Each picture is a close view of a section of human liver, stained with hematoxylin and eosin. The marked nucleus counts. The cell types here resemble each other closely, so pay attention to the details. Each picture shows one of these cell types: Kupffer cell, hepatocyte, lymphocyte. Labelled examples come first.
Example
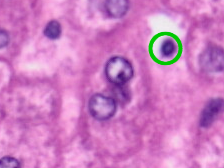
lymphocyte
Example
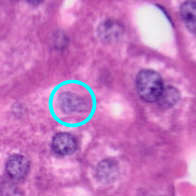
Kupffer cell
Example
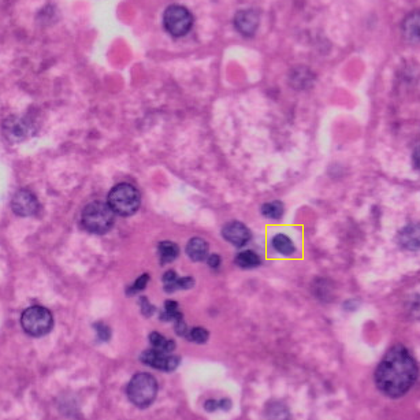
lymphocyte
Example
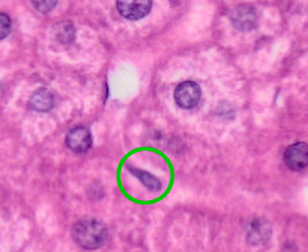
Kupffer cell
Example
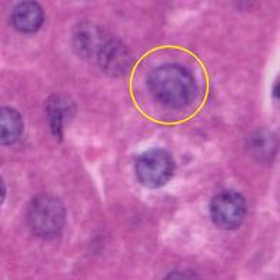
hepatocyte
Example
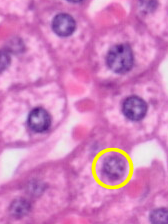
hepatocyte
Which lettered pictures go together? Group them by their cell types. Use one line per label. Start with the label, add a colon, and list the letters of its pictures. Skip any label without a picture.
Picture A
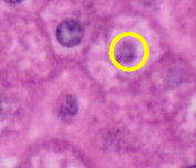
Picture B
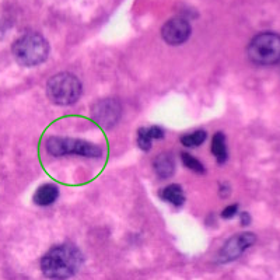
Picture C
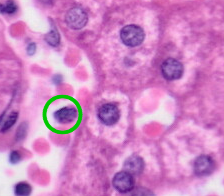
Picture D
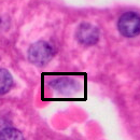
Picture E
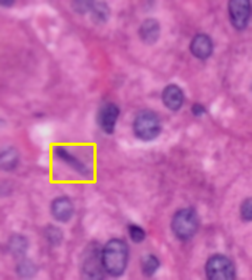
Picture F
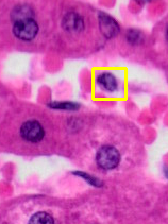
Kupffer cell: B, D, E
hepatocyte: A
lymphocyte: C, F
